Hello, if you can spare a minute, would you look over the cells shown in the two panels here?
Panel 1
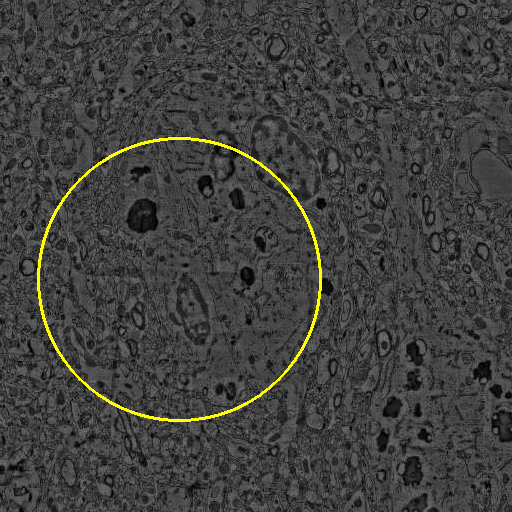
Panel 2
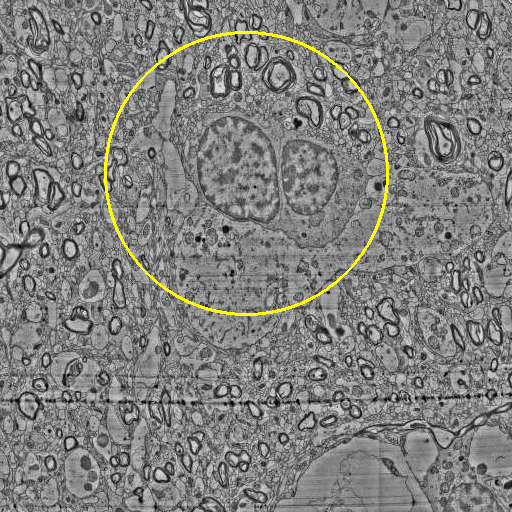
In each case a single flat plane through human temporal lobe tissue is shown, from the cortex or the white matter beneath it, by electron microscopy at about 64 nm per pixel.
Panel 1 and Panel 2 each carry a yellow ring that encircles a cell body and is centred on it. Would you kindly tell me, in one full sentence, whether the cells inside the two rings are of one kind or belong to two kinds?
The cells at the centres of the rings in Panel 1 and Panel 2 belong to two kinds.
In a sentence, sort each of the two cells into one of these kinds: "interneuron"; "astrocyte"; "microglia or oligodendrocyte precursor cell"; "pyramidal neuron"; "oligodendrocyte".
The first of the two cells is a microglial cell or oligodendrocyte precursor cell, and the second is an oligodendrocyte.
